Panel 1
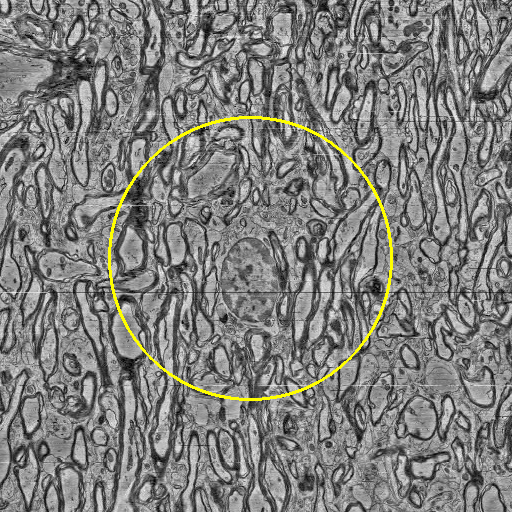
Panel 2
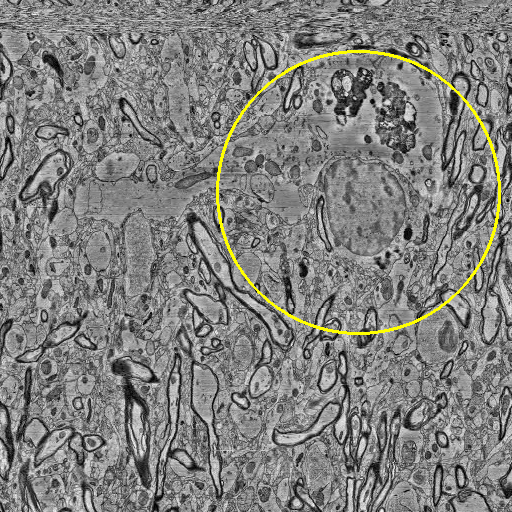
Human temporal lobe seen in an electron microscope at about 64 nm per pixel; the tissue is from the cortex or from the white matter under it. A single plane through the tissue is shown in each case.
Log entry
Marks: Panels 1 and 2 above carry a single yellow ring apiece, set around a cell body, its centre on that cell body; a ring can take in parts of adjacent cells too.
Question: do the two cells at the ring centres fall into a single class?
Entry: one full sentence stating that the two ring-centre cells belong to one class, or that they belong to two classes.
The two ring-centre cells in Panels 1 and 2 belong to two classes.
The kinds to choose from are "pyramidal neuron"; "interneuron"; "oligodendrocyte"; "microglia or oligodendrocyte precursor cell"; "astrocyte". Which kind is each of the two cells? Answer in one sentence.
Of the two, the first cell is a microglial cell or oligodendrocyte precursor cell and the second cell is an oligodendrocyte.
